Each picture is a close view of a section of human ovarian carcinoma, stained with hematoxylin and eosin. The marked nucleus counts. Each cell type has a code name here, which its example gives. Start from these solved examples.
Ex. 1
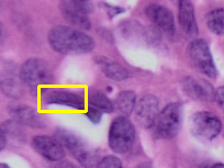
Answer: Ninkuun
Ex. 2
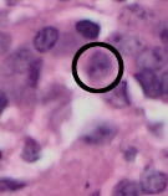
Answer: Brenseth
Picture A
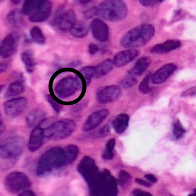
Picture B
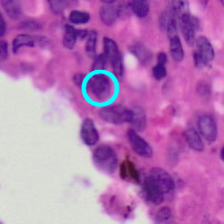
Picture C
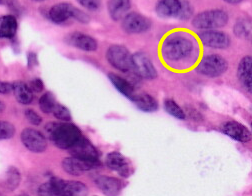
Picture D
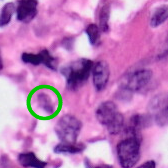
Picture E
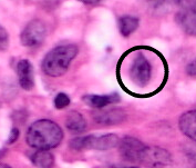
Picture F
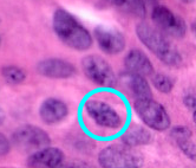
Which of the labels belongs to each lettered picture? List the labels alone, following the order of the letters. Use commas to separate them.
Ninkuun, Ninkuun, Ninkuun, Brenseth, Brenseth, Brenseth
